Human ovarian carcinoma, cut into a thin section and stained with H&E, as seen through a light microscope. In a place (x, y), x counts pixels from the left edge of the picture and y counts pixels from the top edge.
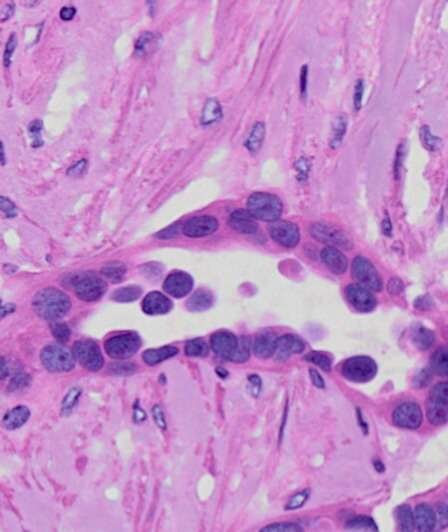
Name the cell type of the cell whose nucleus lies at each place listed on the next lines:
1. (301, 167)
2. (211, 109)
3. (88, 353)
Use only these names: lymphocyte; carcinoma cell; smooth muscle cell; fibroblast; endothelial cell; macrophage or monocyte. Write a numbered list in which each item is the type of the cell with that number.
1. fibroblast
2. fibroblast
3. carcinoma cell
